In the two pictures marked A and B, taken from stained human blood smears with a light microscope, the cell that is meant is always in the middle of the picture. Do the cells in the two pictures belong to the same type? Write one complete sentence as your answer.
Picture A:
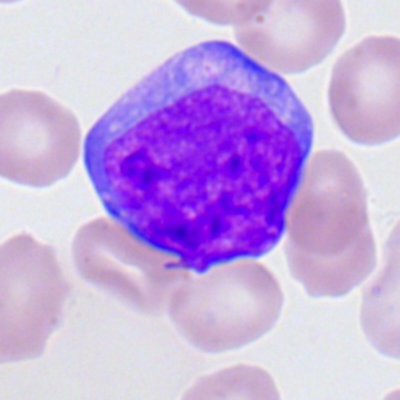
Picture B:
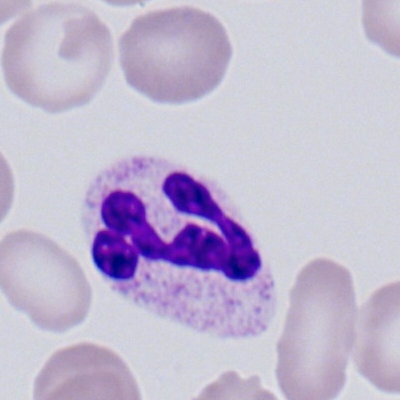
No, picture A shows a myeloblast and picture B shows a segmented neutrophil.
